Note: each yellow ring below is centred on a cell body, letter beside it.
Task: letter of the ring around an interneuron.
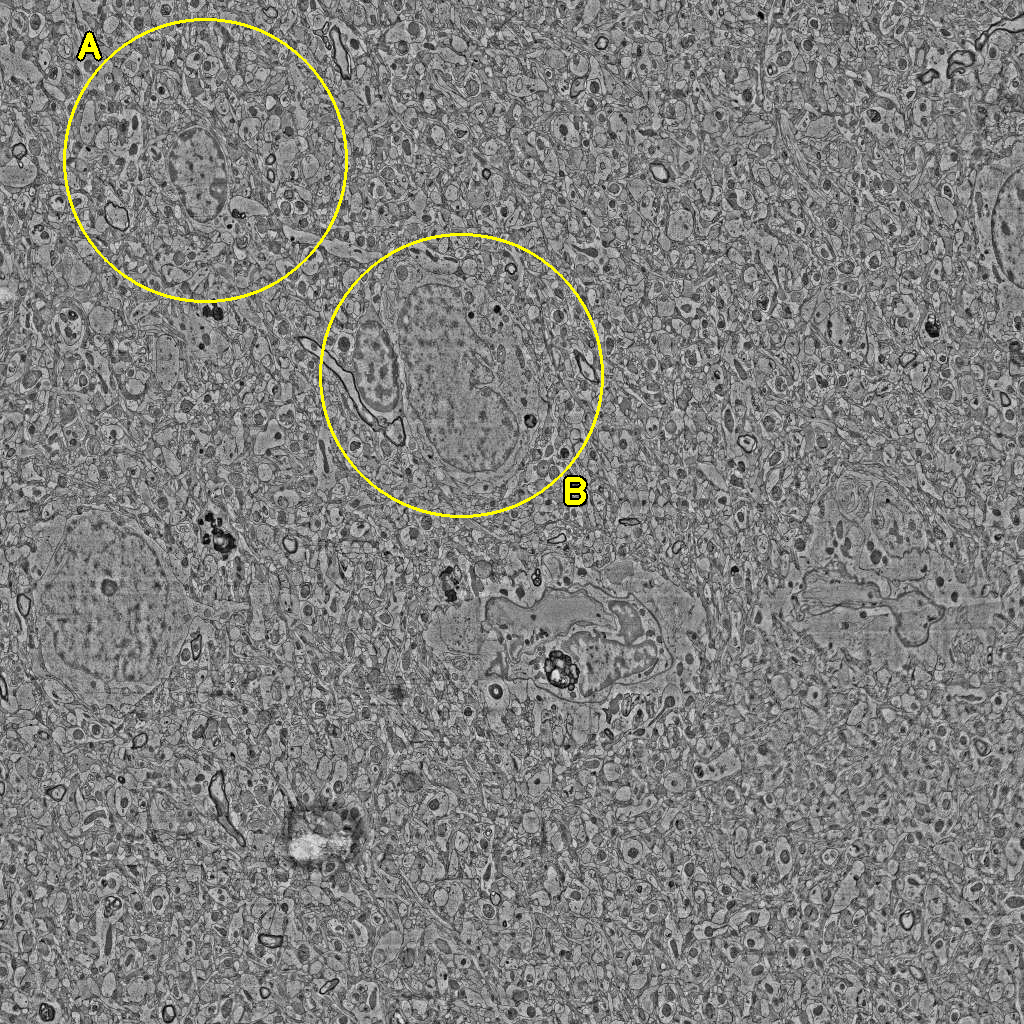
B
